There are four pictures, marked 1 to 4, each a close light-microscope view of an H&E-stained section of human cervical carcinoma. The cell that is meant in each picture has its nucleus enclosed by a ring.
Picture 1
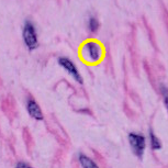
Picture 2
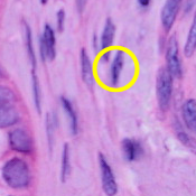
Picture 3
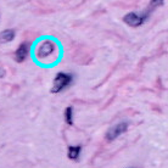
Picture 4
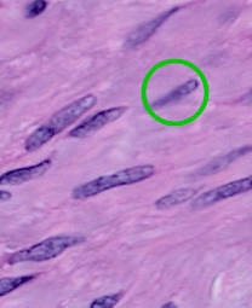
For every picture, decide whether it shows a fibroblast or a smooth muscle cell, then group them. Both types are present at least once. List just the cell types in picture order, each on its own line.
smooth muscle cell
fibroblast
smooth muscle cell
fibroblast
